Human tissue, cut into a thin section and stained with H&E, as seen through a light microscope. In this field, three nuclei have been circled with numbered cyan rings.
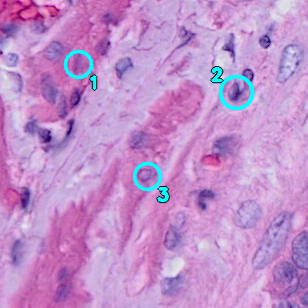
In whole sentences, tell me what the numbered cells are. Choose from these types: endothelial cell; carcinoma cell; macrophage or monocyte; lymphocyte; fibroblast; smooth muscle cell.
Cells 1 and 3 are smooth muscle cells. Cell 2 is a macrophage or monocyte.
